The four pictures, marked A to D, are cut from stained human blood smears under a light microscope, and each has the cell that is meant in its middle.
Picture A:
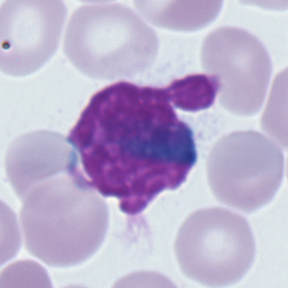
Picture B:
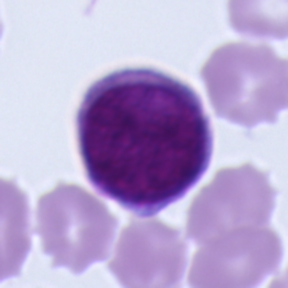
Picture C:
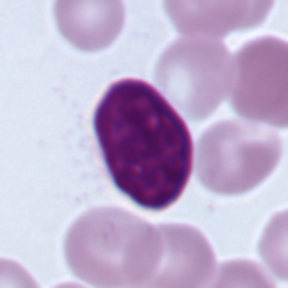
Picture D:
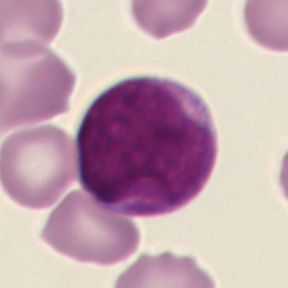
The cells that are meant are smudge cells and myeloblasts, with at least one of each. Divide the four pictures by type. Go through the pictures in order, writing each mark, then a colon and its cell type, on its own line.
A: smudge cell
B: myeloblast
C: smudge cell
D: myeloblast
